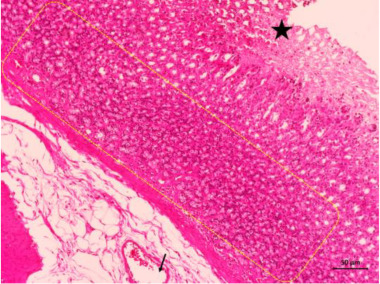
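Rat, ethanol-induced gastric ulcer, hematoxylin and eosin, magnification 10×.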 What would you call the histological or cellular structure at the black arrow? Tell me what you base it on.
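The arrow points to a rounded, walled lumen in the loose pale tissue beneath the mucosa. The lumen holds red-staining contents.
Answer: congested or dilated blood vessel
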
